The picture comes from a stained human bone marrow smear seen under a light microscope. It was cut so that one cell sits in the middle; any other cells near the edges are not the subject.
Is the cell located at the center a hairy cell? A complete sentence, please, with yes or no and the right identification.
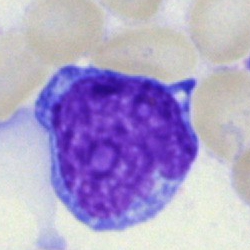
No, a blast rather than a hairy cell is the cell at the centre of the crop.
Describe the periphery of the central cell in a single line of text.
It is the contour of the cell that is irregular, being ragged or projecting outward.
